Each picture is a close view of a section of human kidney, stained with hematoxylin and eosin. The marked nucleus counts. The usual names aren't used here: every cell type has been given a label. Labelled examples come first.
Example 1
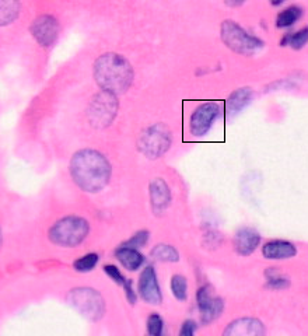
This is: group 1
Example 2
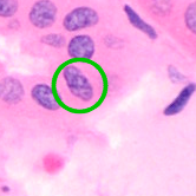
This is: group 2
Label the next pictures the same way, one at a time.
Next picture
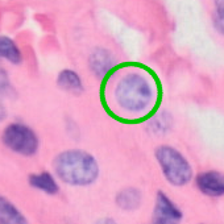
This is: group 2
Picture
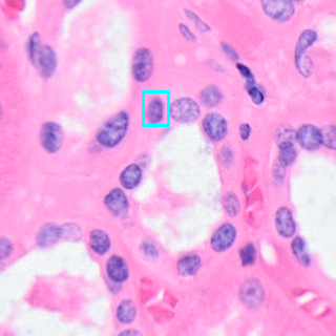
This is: group 2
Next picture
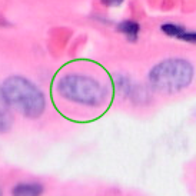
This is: group 2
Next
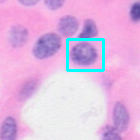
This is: group 2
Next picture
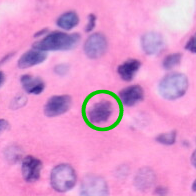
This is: group 1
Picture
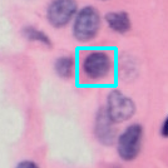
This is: group 2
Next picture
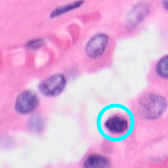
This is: group 1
